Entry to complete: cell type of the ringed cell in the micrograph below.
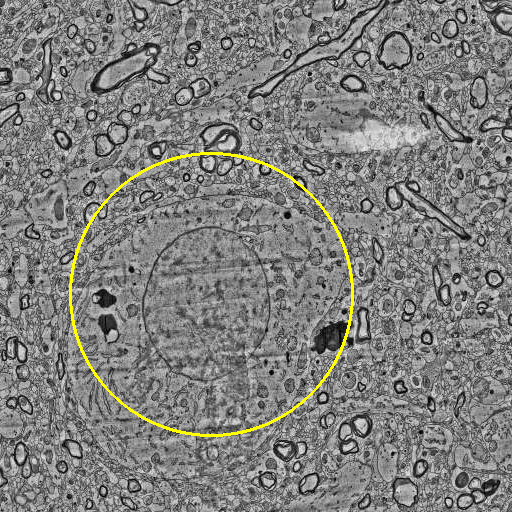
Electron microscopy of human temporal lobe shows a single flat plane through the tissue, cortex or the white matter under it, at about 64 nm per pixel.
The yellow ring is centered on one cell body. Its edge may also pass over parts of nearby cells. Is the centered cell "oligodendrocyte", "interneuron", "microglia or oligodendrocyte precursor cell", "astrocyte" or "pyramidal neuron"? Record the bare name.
pyramidal neuron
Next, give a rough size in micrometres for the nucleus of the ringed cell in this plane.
In this plane the nucleus measures roughly 10 by 8 micrometres.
